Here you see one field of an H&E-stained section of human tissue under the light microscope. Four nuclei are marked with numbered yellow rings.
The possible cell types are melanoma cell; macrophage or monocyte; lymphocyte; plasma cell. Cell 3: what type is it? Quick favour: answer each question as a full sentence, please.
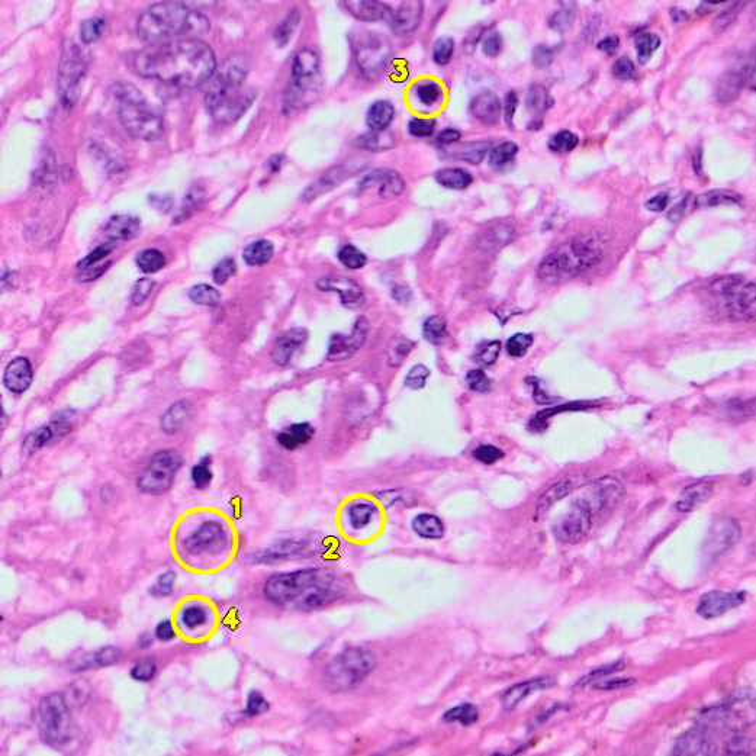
The cell carrying label 3 is identified as a lymphocyte.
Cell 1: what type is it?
The marked nucleus 1 is that of a macrophage or monocyte.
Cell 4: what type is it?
The cell identified by number 4 is a lymphocyte.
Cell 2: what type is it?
Number 2 among the marked cells is a lymphocyte.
